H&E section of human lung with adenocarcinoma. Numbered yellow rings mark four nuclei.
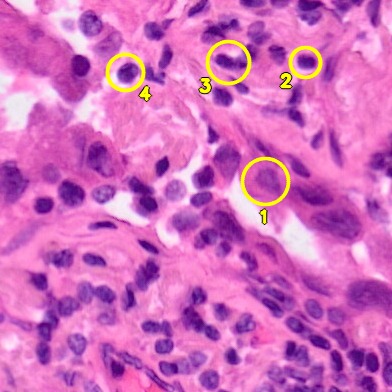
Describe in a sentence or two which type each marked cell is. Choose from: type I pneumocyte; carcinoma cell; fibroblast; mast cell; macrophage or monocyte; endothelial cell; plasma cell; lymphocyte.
Cell 1 is a carcinoma cell, cell 2 is a lymphocyte, cell 3 is a lymphocyte and cell 4 is a lymphocyte.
